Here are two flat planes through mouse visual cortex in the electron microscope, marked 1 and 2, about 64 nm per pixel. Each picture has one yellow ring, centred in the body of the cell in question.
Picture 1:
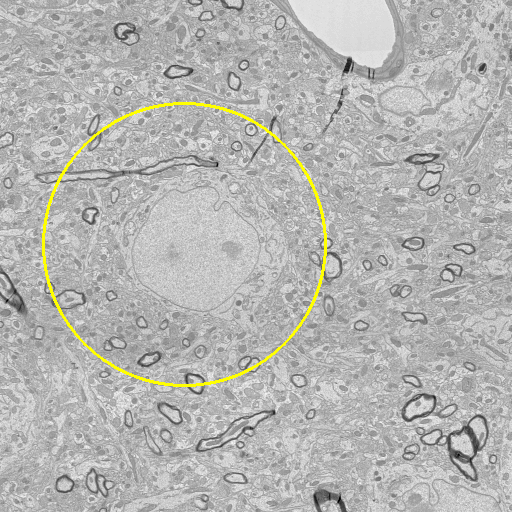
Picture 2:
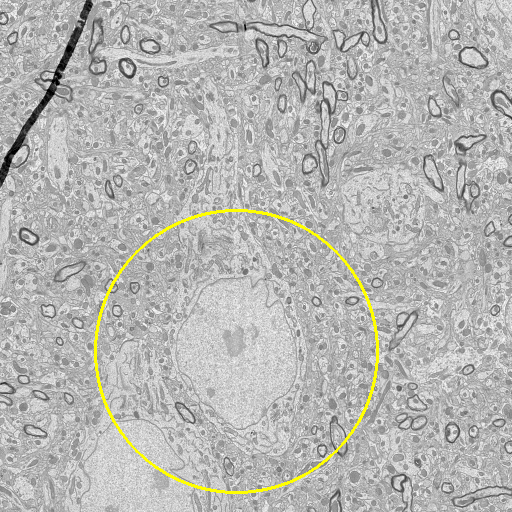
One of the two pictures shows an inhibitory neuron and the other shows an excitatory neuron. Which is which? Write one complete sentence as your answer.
Picture 1 is of an excitatory neuron, and picture 2 is of an inhibitory neuron.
